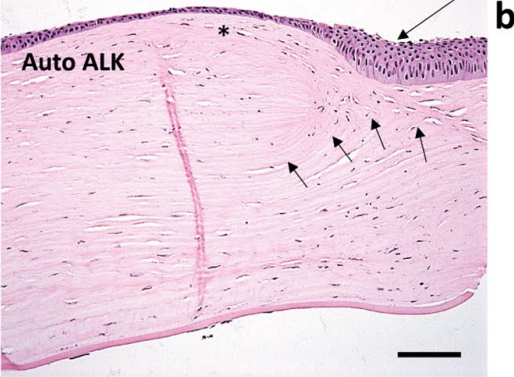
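A cross-section of cornea shows a purple surface epithelium that is thin over the left part and becomes abruptly much thicker toward the right. The pink stroma below consists of layered collagen lamellae with scattered flattened dark nuclei. Near the transition, lamellae and cells curve and converge in a distorted pattern unlike the straight parallel lamellae elsewhere. A narrow vertical pink line crosses the full thickness of the stroma on the left.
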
